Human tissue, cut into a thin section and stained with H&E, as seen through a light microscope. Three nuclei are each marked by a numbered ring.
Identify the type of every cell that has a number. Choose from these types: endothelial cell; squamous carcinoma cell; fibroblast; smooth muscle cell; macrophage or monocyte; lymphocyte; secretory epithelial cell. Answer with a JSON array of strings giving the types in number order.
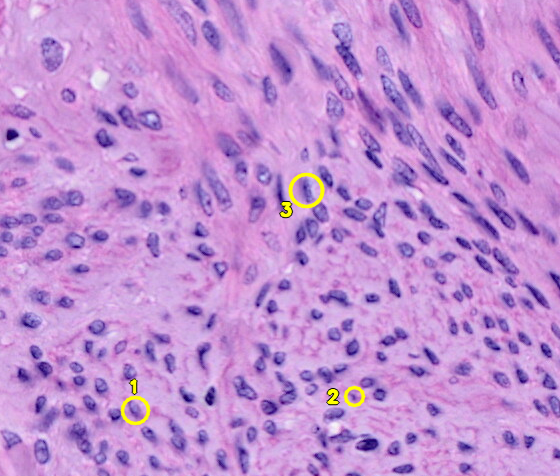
["smooth muscle cell", "smooth muscle cell", "fibroblast"]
